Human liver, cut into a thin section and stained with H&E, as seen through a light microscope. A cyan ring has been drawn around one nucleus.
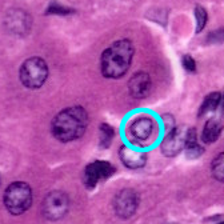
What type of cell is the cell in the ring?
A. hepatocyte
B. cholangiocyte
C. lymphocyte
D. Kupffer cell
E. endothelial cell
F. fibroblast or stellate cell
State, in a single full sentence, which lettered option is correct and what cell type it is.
Option B is correct here; the cell in the ring is a cholangiocyte.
